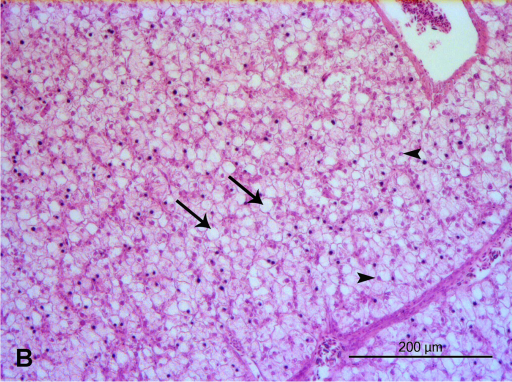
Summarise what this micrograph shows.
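This is liver tissue, a dense sheet of liver cells with pale, foamy-looking pink cytoplasm full of clear spaces. The small round nuclei stain dark purple and are scattered through the sheet. Among the clear spaces some are larger and round, empty-looking holes where fat has been dissolved out in processing: these are lipid droplets within the cells. In places a nucleus sits off to the side of a cell rather than in its middle. At the upper right a vessel holds red blood cells, and a thin pink band of connective tissue crosses the lower right.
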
